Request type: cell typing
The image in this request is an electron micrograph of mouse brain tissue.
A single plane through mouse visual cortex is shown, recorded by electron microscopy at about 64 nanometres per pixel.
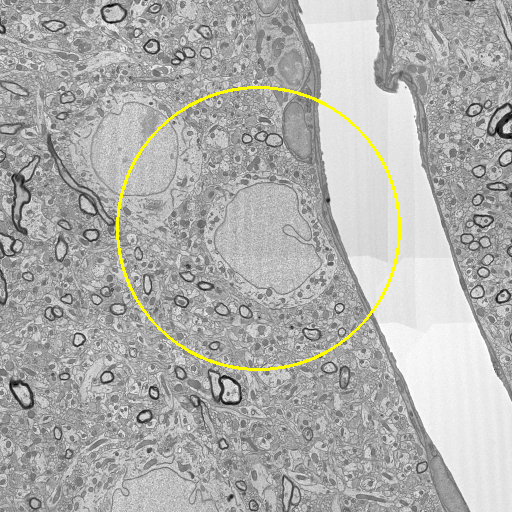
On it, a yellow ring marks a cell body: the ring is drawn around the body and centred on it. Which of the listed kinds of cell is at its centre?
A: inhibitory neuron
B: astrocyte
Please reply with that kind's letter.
A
